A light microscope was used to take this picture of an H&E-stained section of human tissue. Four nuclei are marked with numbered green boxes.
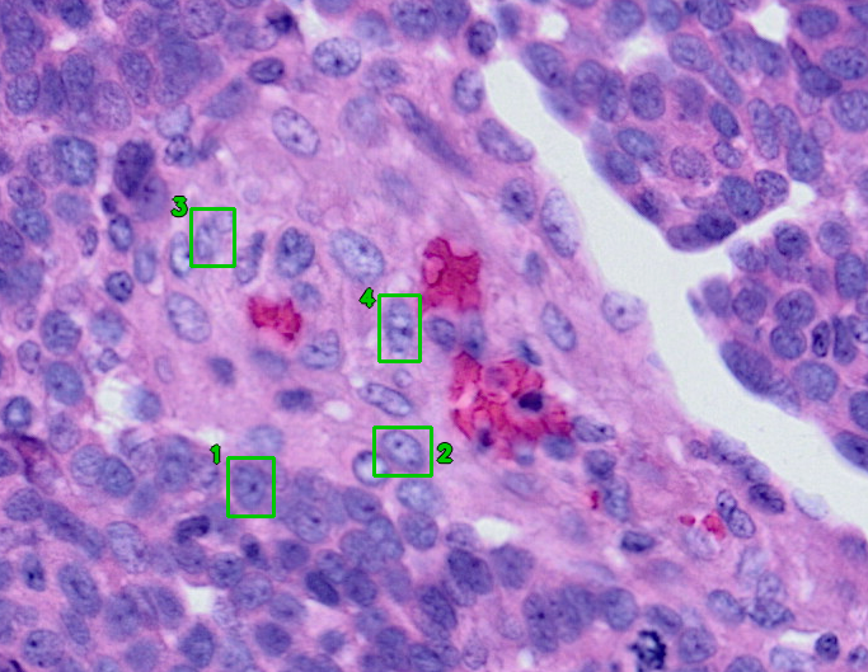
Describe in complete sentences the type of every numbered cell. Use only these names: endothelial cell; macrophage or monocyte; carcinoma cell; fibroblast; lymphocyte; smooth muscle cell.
Cell 1 is a carcinoma cell. Cells 2, 3 and 4 are fibroblasts.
